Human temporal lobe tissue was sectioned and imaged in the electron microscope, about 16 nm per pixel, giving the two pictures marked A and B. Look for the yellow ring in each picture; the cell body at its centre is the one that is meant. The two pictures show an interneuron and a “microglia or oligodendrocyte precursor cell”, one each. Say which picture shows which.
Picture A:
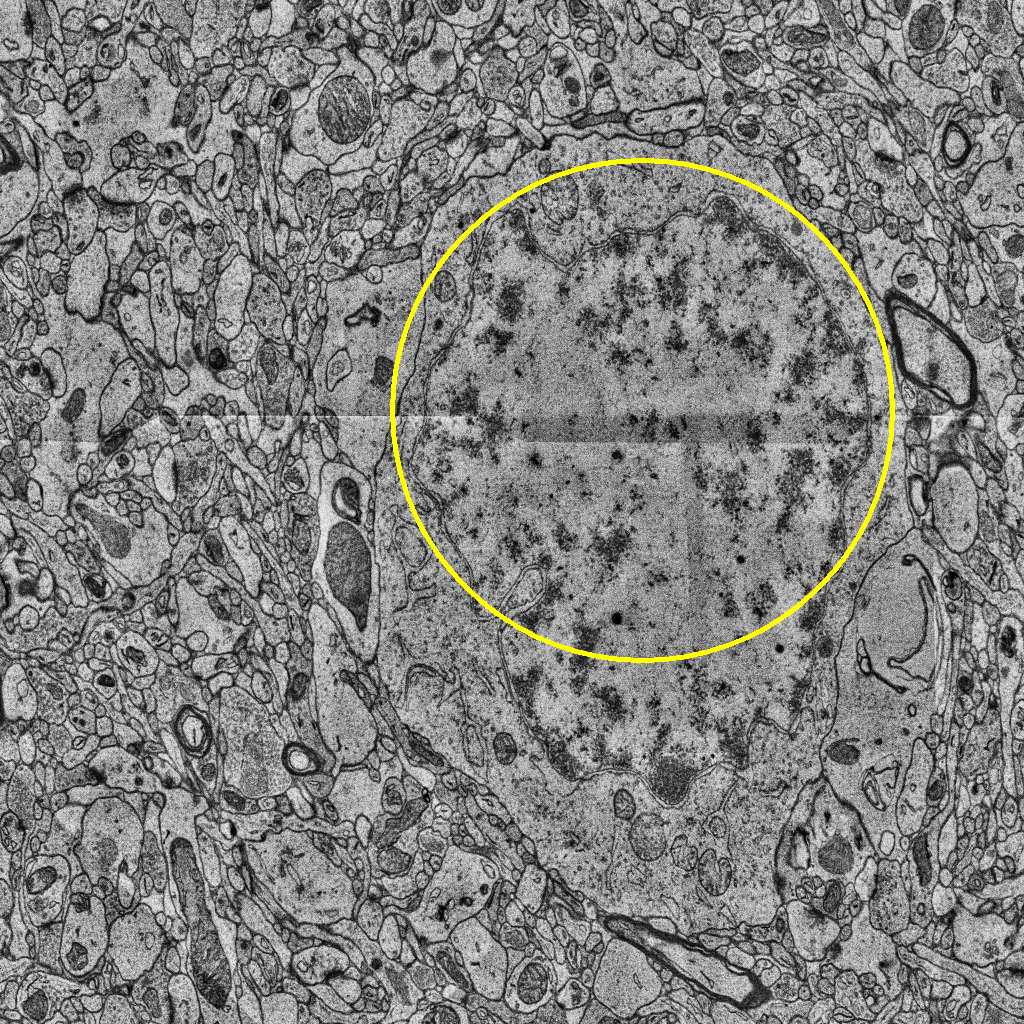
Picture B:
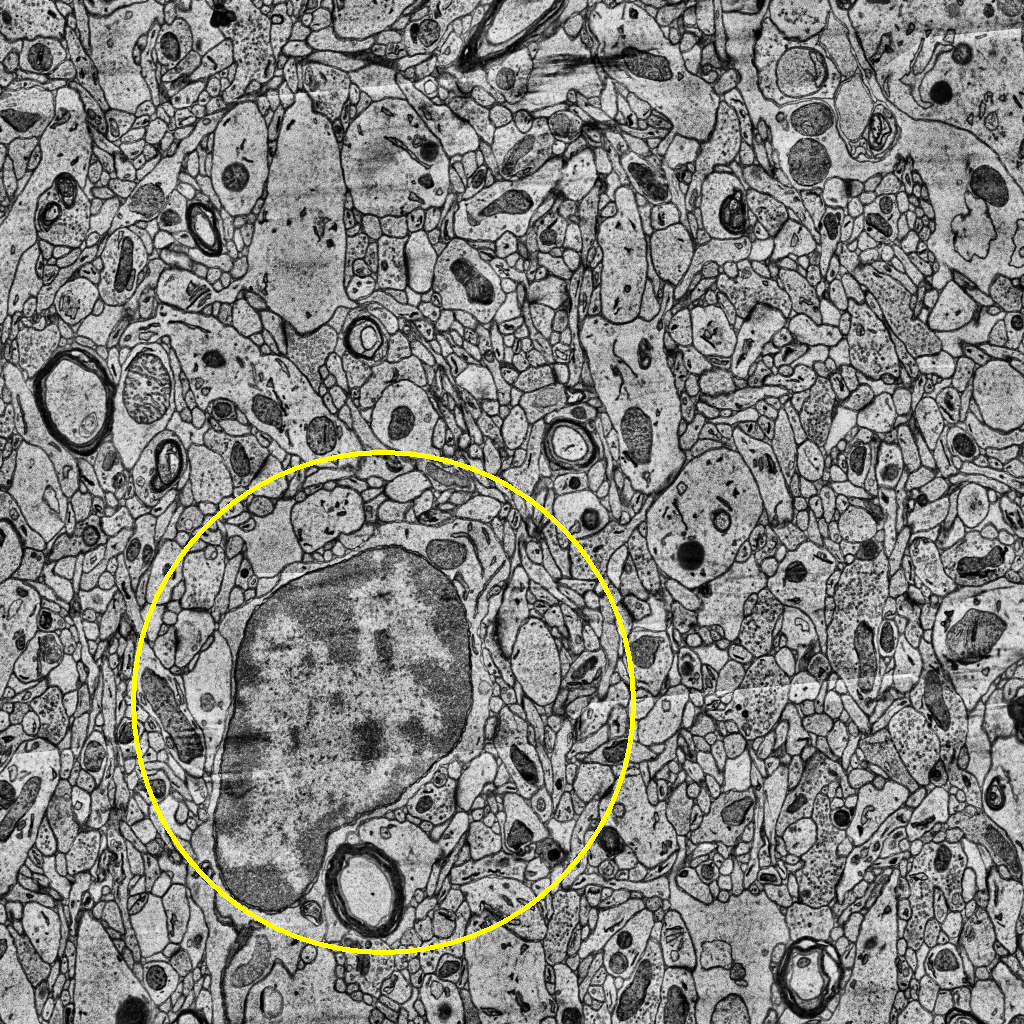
It is picture A that shows an interneuron, and picture B that shows a “microglia or oligodendrocyte precursor cell”.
